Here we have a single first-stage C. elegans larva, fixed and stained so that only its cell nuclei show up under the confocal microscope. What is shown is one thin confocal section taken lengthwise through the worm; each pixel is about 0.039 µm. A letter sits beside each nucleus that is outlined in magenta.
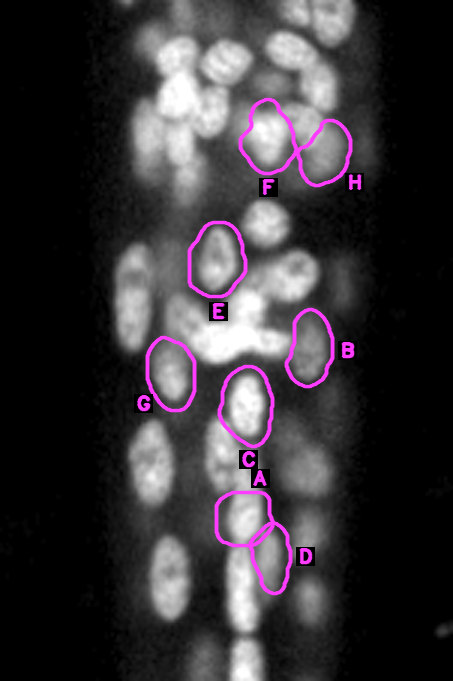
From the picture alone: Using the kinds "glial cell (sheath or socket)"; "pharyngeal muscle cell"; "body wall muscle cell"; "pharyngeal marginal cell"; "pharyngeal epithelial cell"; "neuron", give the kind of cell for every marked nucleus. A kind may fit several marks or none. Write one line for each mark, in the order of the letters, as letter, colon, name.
A: pharyngeal epithelial cell
B: body wall muscle cell
C: neuron
D: pharyngeal muscle cell
E: pharyngeal muscle cell
F: neuron
G: glial cell (sheath or socket)
H: neuron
